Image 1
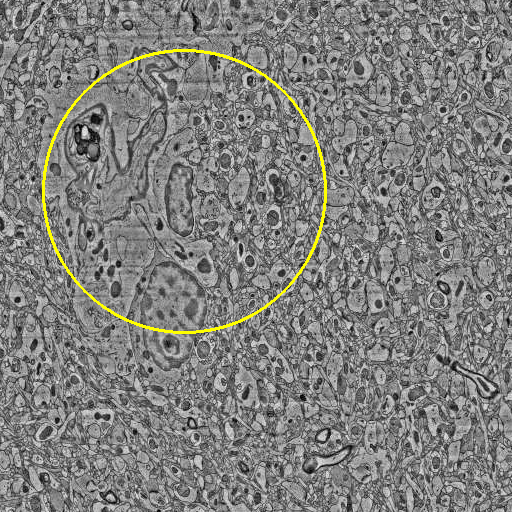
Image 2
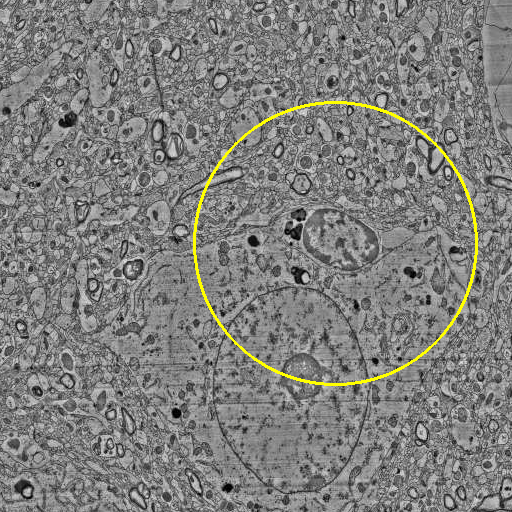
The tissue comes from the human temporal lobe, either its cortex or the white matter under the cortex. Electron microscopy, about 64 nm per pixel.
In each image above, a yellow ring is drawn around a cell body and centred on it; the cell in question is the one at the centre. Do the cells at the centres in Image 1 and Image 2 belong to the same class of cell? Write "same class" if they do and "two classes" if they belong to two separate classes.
same class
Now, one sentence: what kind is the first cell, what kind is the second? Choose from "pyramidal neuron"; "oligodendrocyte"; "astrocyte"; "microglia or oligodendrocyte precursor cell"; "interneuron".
Each of the two rings surrounds a microglial cell or oligodendrocyte precursor cell.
